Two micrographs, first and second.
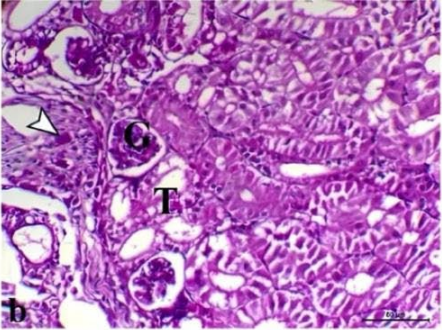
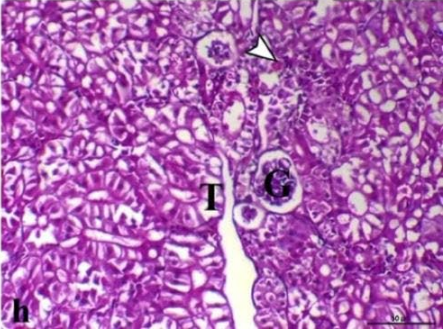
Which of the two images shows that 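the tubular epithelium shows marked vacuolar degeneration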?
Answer: The first image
